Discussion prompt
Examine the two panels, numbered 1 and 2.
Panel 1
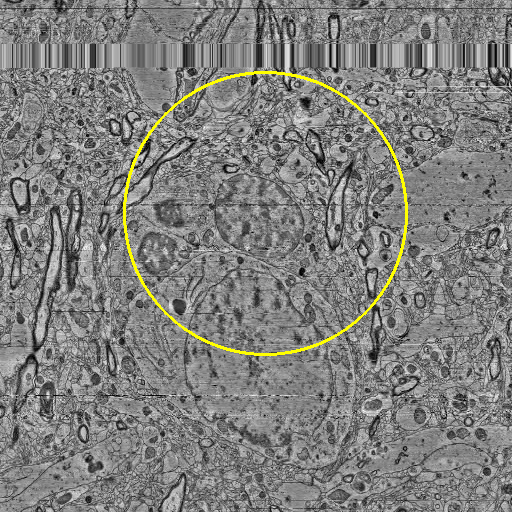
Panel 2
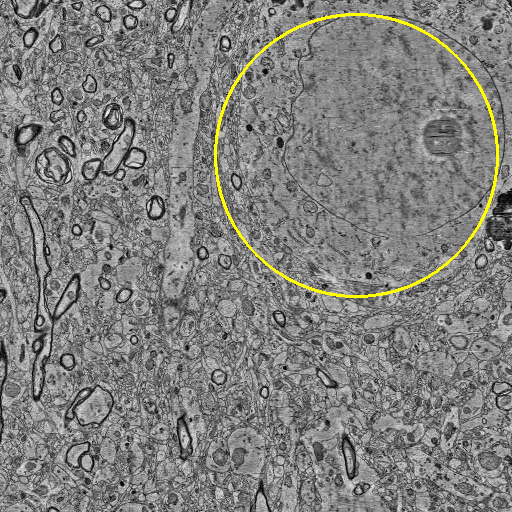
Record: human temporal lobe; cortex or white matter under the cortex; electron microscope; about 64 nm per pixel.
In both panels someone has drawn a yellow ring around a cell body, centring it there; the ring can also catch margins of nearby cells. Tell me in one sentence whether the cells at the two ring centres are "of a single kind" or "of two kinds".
Taken together, the two cells centred in the rings of Panels 1 and 2 are of two kinds.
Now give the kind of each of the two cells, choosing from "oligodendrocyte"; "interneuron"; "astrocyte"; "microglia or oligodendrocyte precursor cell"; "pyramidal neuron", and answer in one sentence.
The cell in the first picture is an oligodendrocyte, and the cell in the second is a pyramidal neuron.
